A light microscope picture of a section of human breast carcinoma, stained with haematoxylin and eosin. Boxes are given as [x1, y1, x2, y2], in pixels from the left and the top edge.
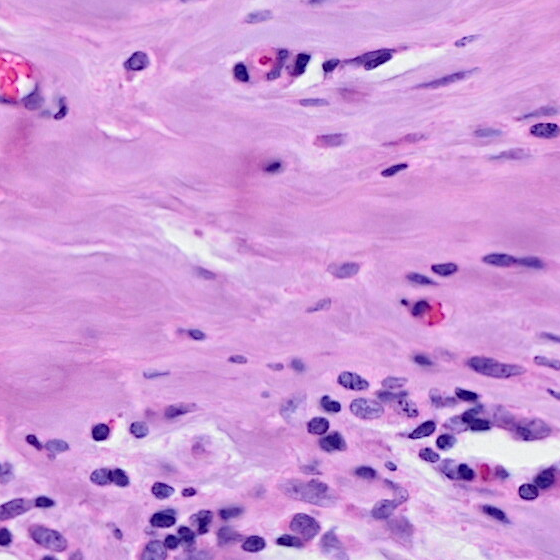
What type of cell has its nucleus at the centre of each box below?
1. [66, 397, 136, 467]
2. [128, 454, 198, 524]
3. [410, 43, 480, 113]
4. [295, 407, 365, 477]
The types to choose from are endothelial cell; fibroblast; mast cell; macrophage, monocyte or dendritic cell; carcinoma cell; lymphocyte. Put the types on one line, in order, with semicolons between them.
lymphocyte; lymphocyte; fibroblast; lymphocyte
